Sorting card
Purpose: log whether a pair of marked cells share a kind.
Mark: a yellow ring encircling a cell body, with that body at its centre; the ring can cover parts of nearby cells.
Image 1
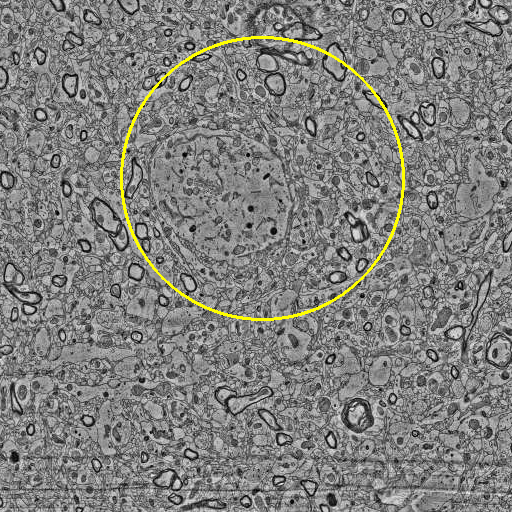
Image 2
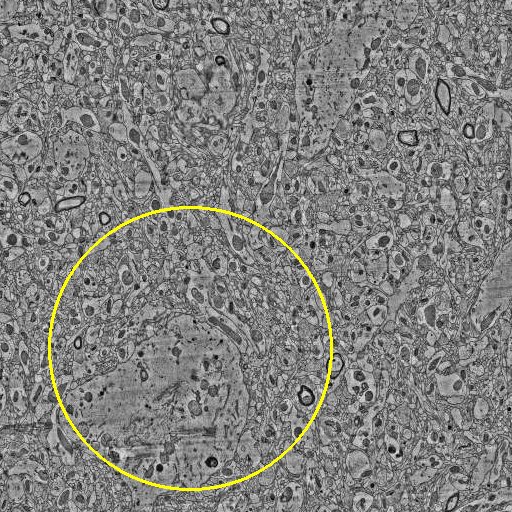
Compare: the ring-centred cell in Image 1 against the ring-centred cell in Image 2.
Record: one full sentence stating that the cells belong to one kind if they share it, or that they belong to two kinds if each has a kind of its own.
Across Images 1 and 2, the two ring-centred cells belong to one kind.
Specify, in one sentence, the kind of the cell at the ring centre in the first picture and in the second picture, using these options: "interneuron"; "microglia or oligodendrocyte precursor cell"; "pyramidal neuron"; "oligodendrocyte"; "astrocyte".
Both rings mark a pyramidal neuron, one in each picture.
